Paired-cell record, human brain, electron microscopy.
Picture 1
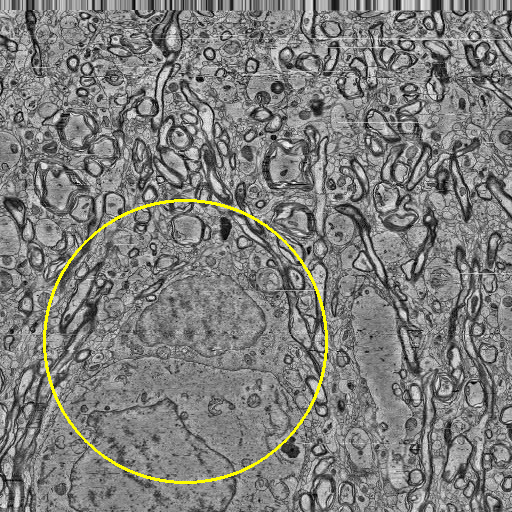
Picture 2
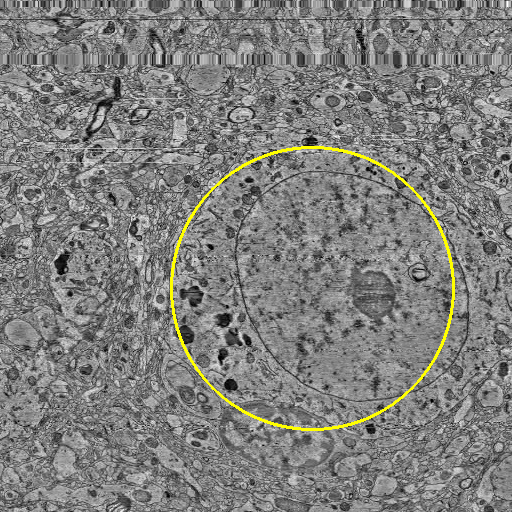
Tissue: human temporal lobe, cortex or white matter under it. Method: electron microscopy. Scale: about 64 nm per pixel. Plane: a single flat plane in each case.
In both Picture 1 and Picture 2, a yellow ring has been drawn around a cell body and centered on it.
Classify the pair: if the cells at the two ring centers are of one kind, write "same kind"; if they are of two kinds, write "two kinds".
two kinds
